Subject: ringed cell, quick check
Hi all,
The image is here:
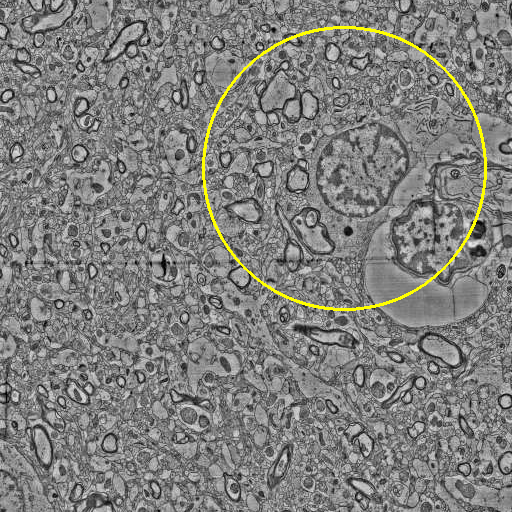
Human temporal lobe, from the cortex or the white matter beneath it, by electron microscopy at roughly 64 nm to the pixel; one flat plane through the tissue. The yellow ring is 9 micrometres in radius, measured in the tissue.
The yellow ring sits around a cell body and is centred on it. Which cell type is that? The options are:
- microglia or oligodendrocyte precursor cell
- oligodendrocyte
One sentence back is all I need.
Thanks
That ringed cell is an oligodendrocyte.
